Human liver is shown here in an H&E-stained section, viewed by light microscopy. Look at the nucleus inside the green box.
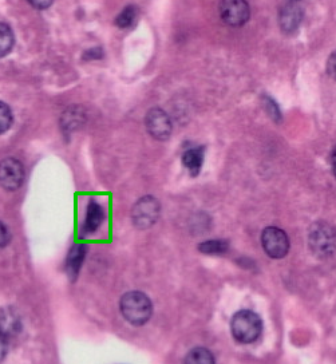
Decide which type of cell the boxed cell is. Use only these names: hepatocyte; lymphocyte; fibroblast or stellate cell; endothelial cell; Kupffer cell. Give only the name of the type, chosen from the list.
fibroblast or stellate cell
